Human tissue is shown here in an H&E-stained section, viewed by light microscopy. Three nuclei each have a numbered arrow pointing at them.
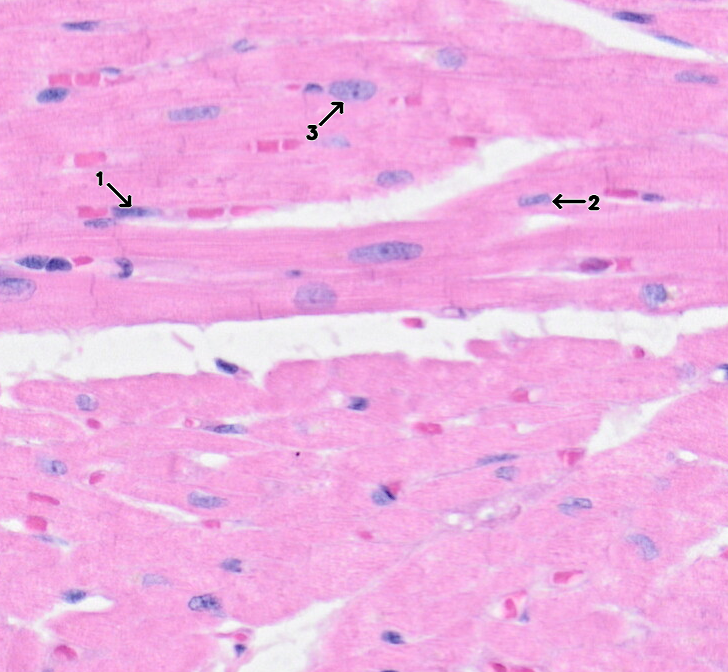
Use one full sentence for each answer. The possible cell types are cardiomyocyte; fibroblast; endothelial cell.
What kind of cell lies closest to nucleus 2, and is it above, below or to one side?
Just below and to the right of nucleus 2 lies the nearest nucleus, which belongs to an endothelial cell.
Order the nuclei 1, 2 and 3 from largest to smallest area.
From largest to smallest, the order is 3, 1, 2.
